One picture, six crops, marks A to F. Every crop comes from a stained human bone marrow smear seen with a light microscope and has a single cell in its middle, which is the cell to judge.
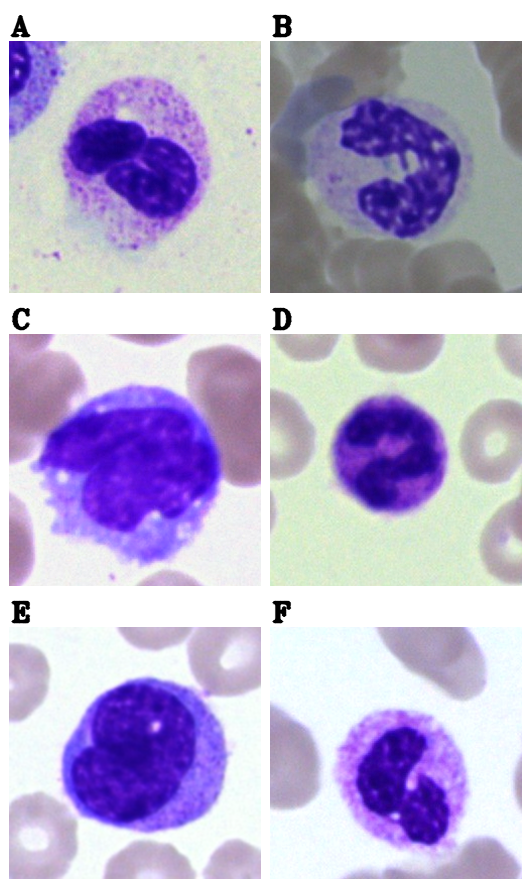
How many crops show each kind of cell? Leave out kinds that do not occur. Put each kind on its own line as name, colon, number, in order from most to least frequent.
segmented neutrophil: 4
monocyte: 2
